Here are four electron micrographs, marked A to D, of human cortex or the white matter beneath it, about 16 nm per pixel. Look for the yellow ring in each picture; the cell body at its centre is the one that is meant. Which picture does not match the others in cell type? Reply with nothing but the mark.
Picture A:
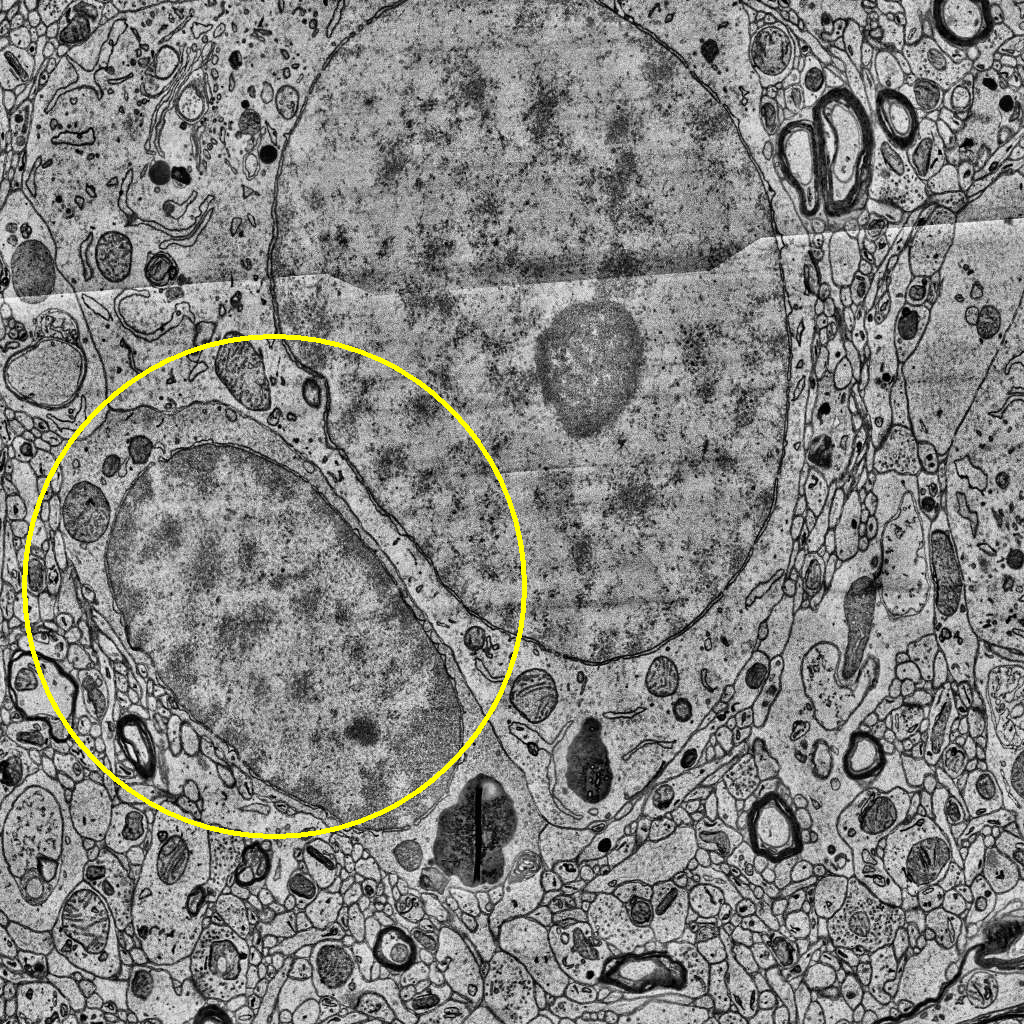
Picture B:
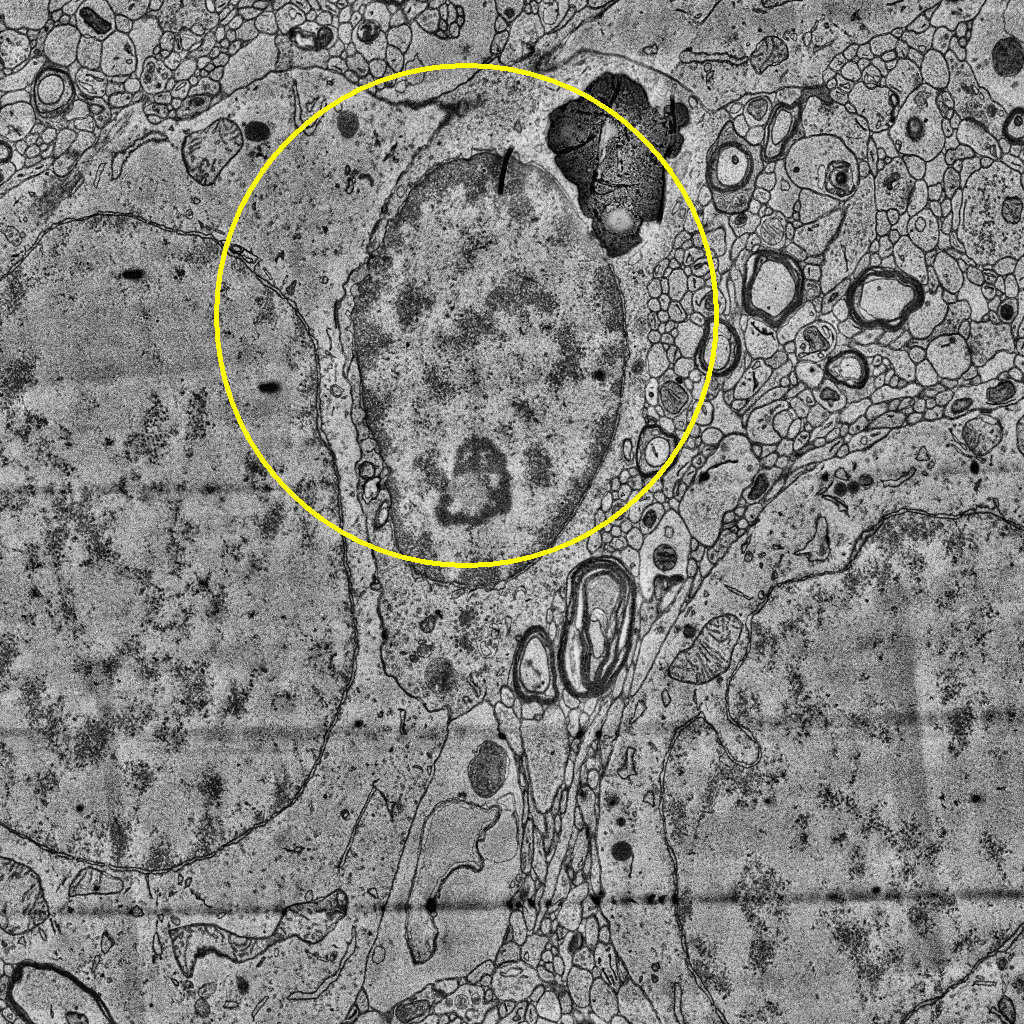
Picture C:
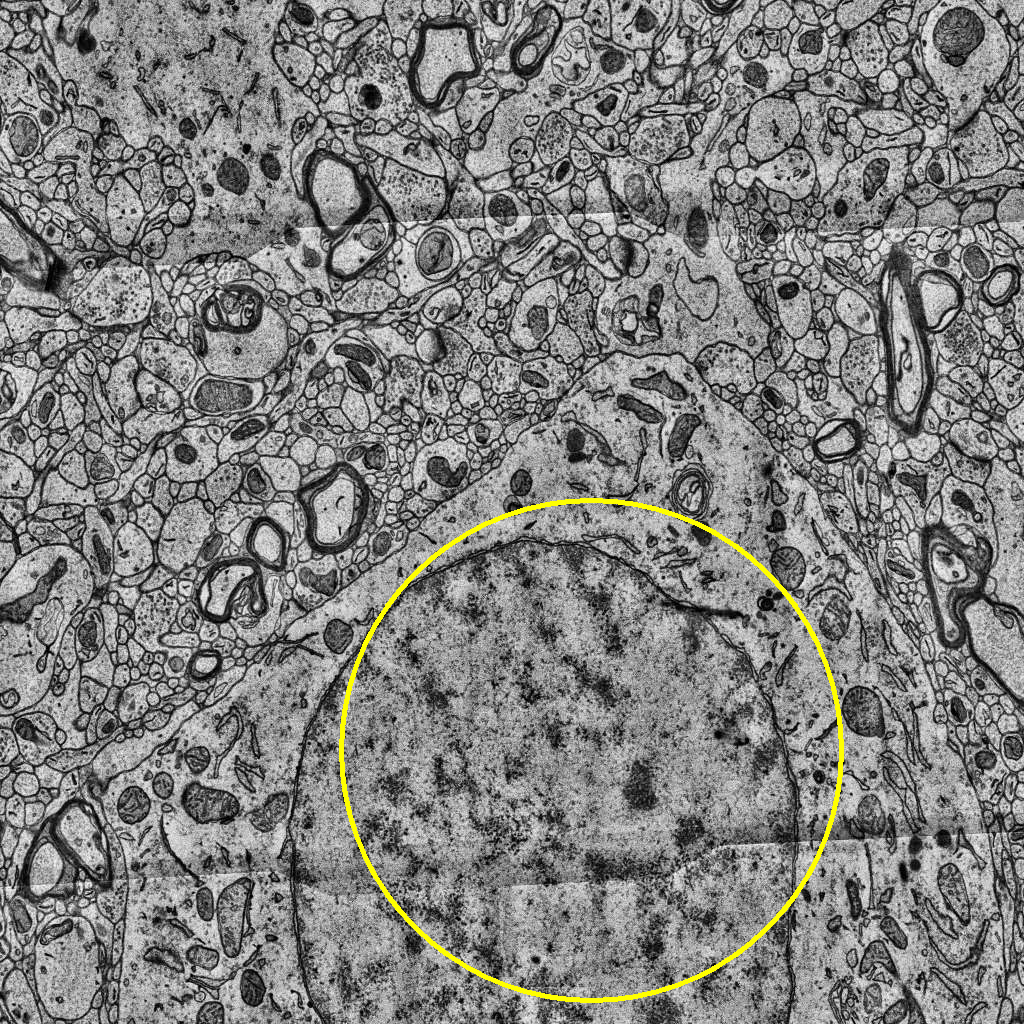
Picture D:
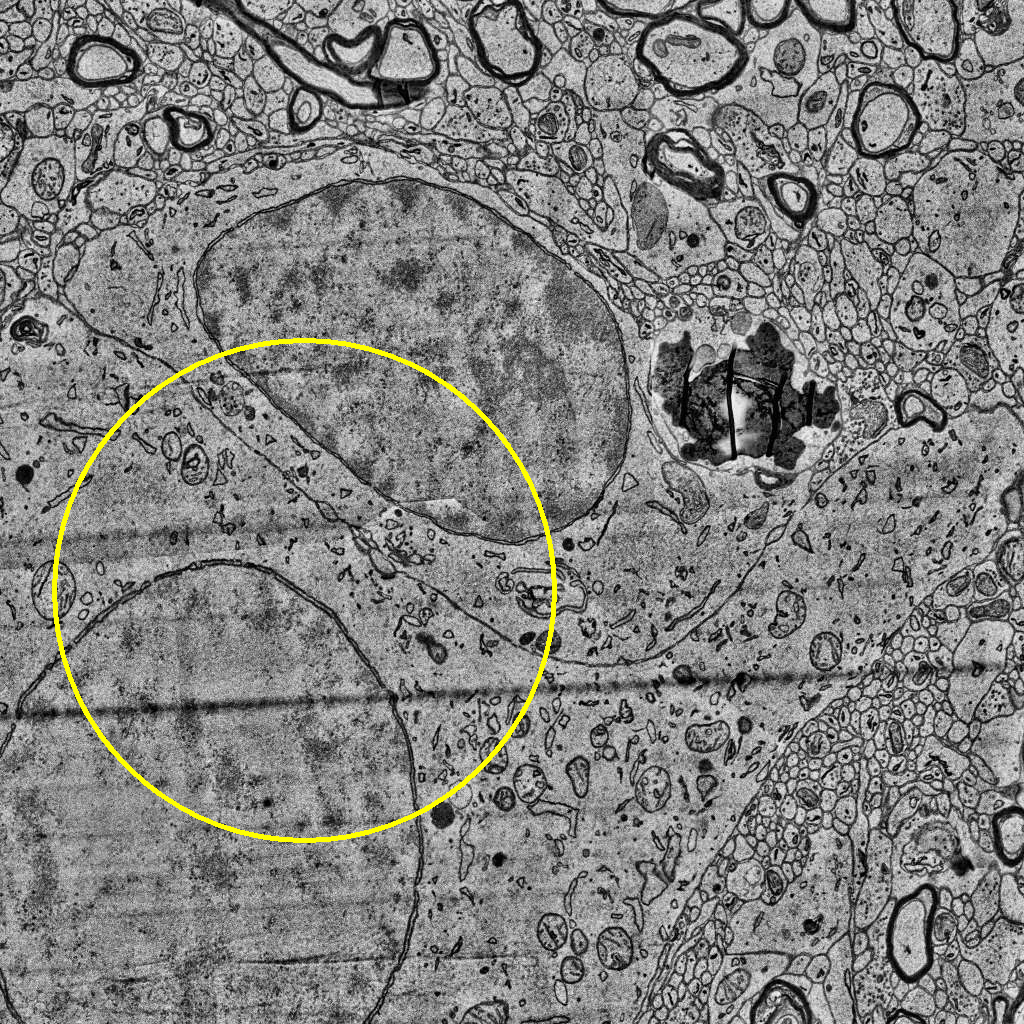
C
